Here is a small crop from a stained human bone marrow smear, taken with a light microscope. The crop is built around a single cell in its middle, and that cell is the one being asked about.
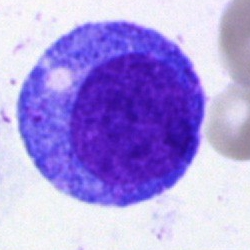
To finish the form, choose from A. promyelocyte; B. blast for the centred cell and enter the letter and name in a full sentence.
The cell shown centrally is a promyelocyte; option A is the correct option.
